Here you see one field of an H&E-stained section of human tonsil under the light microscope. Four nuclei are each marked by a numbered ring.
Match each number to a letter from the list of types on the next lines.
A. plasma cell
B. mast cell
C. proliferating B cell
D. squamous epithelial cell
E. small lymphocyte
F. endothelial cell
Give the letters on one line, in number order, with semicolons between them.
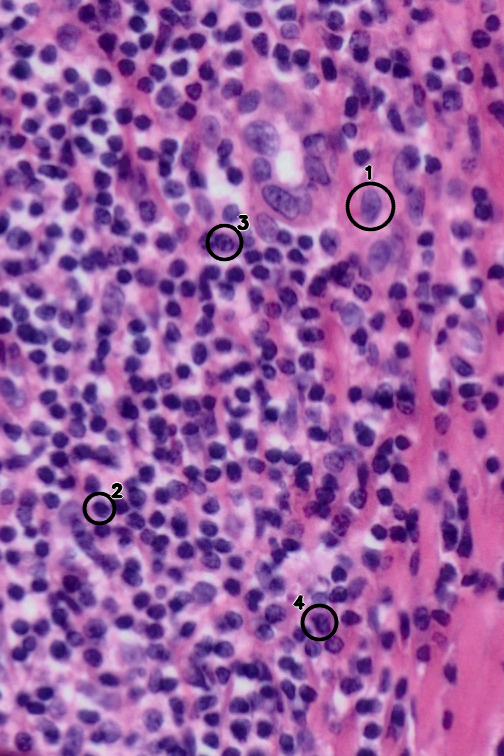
F; E; A; A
